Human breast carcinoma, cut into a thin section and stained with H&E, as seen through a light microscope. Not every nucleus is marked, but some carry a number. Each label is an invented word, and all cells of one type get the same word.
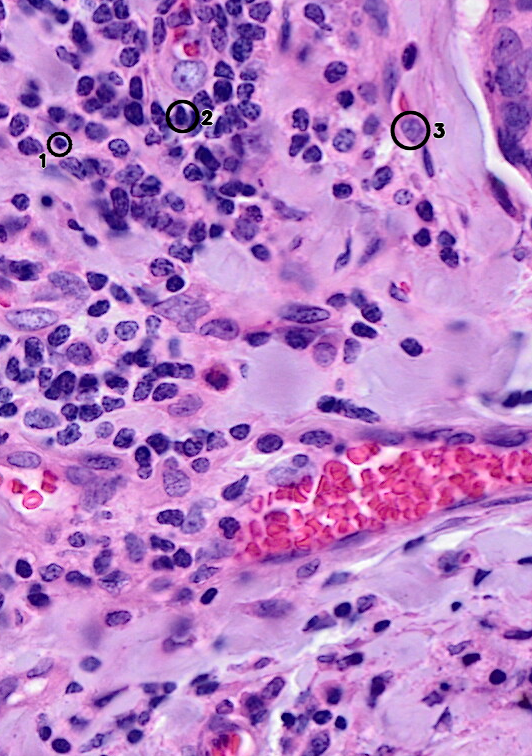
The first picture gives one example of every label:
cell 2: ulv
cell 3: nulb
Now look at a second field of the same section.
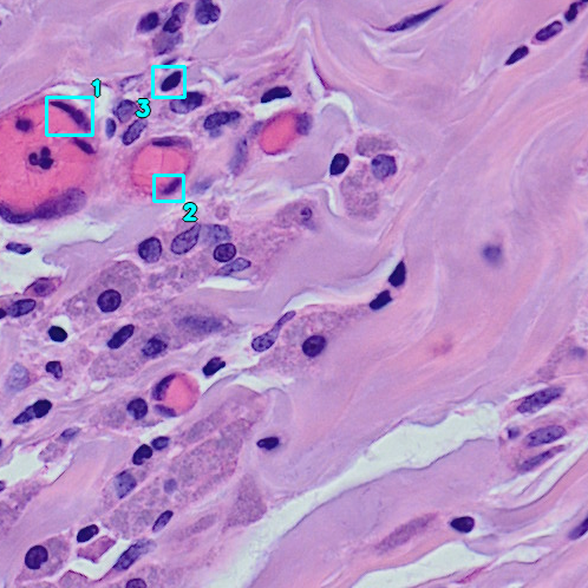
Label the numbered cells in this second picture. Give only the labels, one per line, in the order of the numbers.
nulb
nulb
ulv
